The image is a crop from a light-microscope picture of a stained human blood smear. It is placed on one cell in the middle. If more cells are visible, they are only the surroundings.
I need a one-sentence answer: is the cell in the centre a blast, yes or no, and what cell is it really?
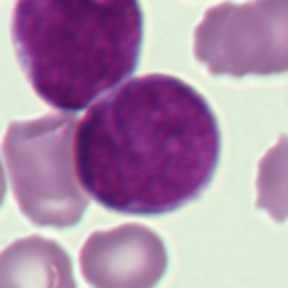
Yes, the cell of interest in the centre is a blast.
